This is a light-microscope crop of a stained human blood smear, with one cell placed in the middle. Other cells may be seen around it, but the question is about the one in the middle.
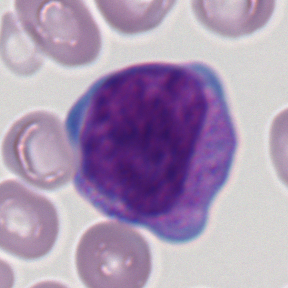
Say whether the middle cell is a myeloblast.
no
